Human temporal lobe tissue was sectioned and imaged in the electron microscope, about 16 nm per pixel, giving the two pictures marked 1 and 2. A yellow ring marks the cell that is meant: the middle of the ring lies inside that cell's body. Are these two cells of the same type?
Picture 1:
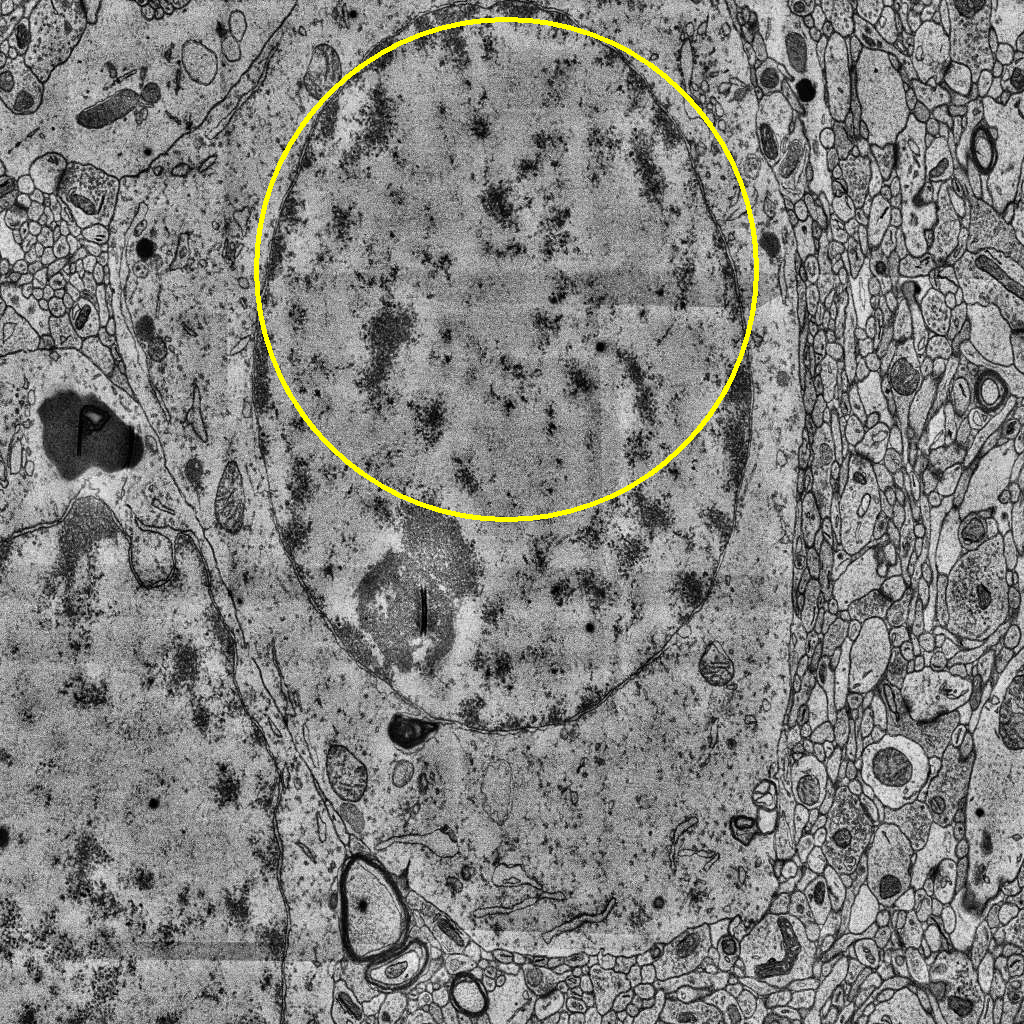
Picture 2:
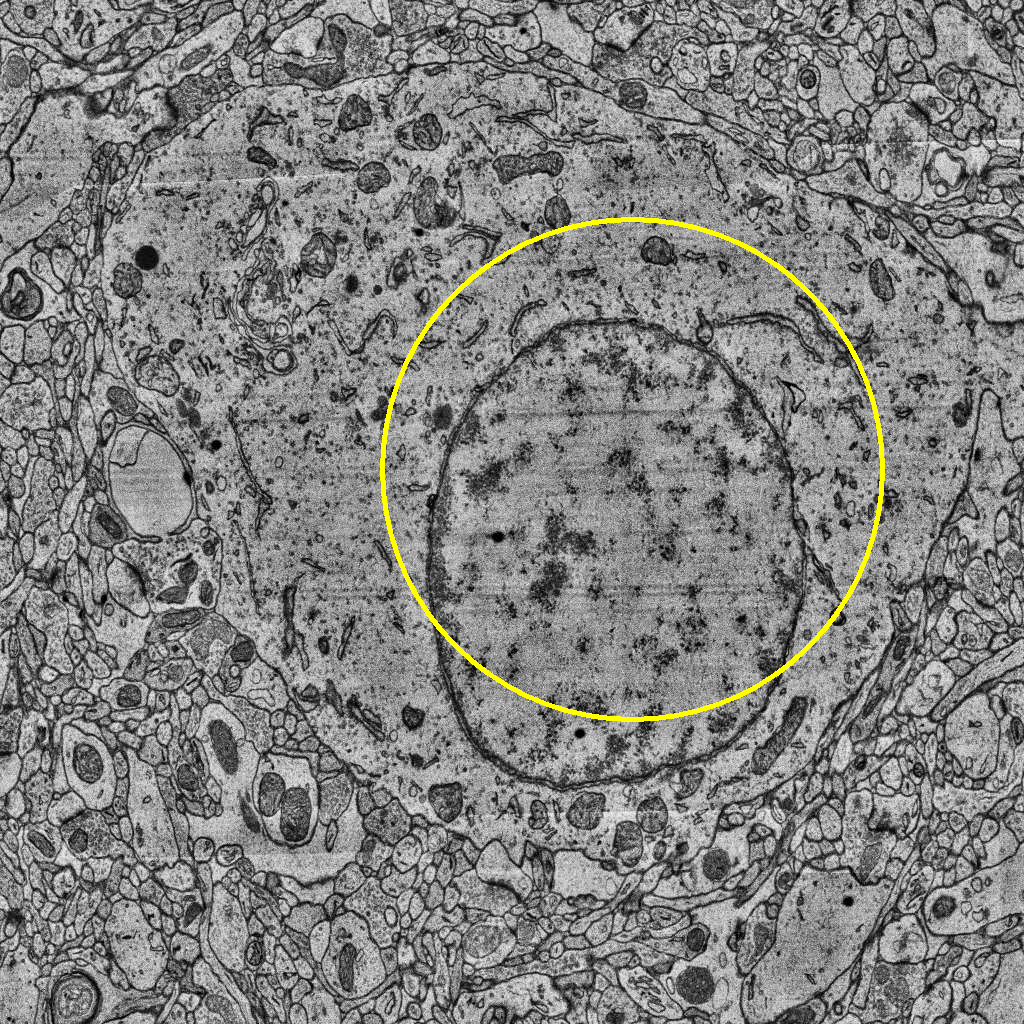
Yes, both are pyramidal neurons.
